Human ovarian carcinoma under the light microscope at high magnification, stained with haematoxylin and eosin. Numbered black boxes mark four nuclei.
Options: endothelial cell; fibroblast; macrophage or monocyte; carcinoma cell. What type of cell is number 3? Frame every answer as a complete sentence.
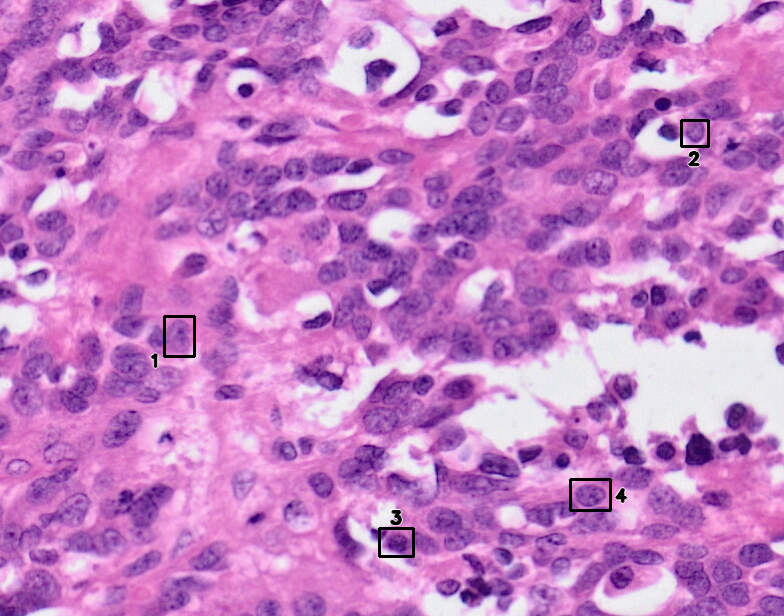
Denoted by the label 3 in the section is a carcinoma cell.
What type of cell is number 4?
The one numbered 4 among the marked cells is a macrophage or monocyte.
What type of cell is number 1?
Heads up, the cell numbered 1 is a carcinoma cell.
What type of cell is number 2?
In the marked set, the cell given number 2 is a macrophage or monocyte.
